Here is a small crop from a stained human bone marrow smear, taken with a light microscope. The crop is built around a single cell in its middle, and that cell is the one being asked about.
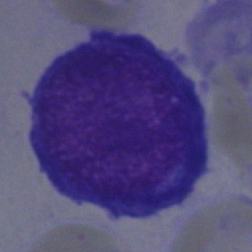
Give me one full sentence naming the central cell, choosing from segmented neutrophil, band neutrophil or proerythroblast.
The central cell in this smear crop is a proerythroblast.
